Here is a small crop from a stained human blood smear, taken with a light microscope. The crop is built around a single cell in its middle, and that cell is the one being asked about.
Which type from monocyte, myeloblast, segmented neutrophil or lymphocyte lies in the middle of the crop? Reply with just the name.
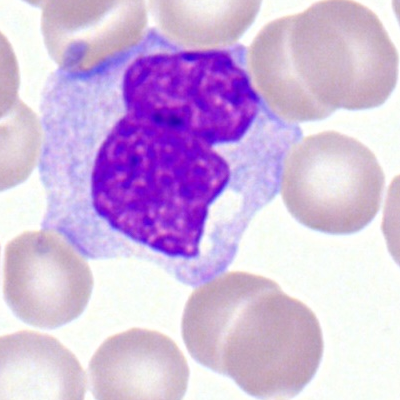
monocyte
